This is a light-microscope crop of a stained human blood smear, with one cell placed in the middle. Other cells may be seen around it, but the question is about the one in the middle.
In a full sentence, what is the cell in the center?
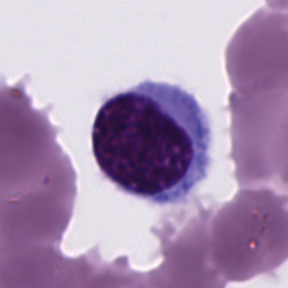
Seen at the centre of the crop is a hairy cell.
